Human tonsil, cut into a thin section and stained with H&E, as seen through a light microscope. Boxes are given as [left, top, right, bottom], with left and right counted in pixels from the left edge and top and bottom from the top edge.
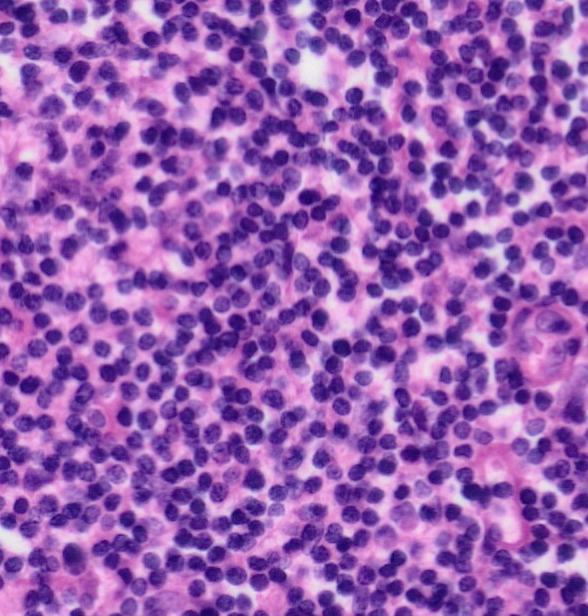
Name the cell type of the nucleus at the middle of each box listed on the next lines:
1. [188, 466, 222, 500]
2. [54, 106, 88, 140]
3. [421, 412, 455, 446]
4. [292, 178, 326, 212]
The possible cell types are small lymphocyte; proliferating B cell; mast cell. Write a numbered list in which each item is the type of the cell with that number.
1. small lymphocyte
2. proliferating B cell
3. small lymphocyte
4. small lymphocyte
